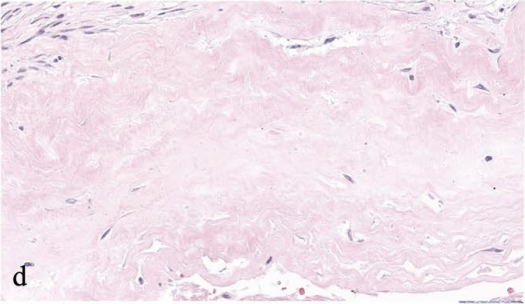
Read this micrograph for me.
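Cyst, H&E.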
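The field is dominated by a dense, pale pink, hyaline membrane made of wavy, homogeneous fibrillar material. Very few cells are present; scattered small elongated nuclei lie isolated within the material. At the upper left edge a few more spindle-shaped nuclei are seen. No epithelial lining is present.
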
